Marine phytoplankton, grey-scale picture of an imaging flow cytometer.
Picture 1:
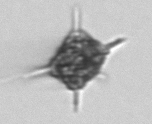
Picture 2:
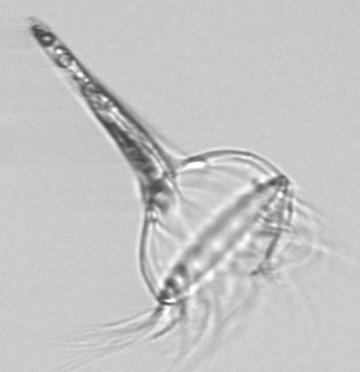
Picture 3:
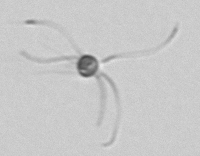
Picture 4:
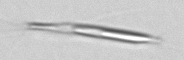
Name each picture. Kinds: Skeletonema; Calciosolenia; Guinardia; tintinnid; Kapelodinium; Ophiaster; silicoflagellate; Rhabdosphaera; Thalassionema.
1: silicoflagellate
2: tintinnid
3: Ophiaster
4: Calciosolenia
